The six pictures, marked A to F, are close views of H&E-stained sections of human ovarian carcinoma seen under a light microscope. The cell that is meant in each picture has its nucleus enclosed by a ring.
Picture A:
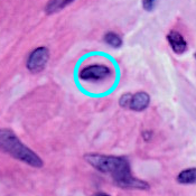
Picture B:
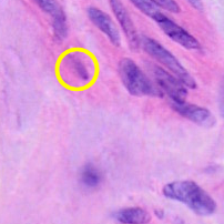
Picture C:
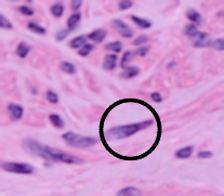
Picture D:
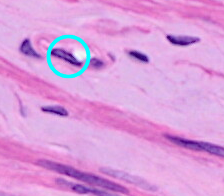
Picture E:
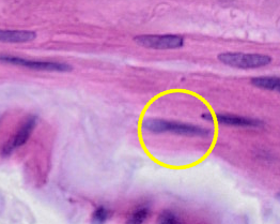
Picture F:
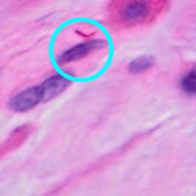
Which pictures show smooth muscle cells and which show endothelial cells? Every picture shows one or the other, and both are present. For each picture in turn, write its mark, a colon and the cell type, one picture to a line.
A: smooth muscle cell
B: smooth muscle cell
C: smooth muscle cell
D: endothelial cell
E: smooth muscle cell
F: endothelial cell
